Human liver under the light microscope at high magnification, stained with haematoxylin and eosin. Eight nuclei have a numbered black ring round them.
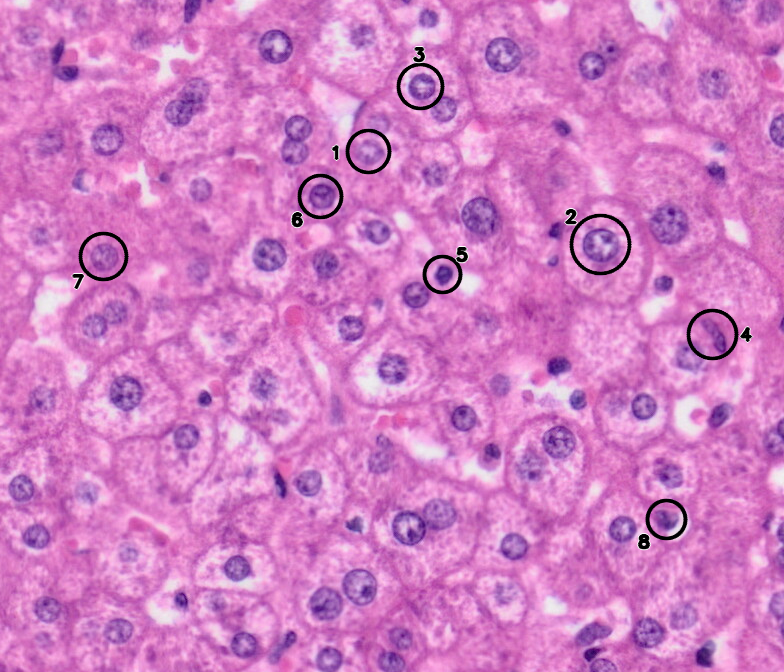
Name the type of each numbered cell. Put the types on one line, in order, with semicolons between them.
hepatocyte; hepatocyte; hepatocyte; Kupffer cell; lymphocyte; hepatocyte; hepatocyte; endothelial cell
